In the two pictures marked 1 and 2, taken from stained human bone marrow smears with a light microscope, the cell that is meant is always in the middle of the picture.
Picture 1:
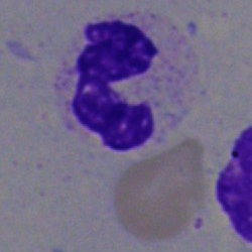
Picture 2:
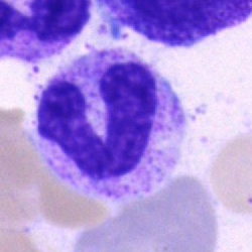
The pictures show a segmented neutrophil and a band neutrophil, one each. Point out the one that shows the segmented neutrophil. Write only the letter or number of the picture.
1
